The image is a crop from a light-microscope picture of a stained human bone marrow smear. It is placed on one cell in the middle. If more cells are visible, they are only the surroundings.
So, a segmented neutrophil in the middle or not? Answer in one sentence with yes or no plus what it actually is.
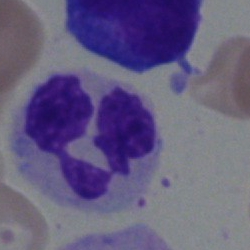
Yes, the cell of interest in the centre is a segmented neutrophil.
